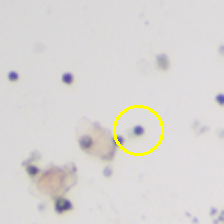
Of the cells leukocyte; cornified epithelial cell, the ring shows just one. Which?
The ring shows a leukocyte.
